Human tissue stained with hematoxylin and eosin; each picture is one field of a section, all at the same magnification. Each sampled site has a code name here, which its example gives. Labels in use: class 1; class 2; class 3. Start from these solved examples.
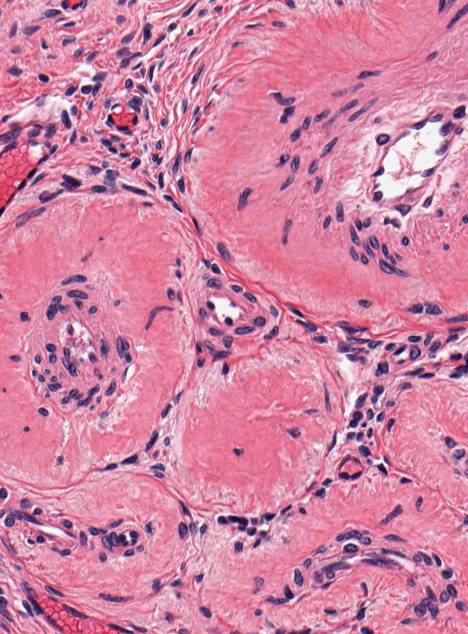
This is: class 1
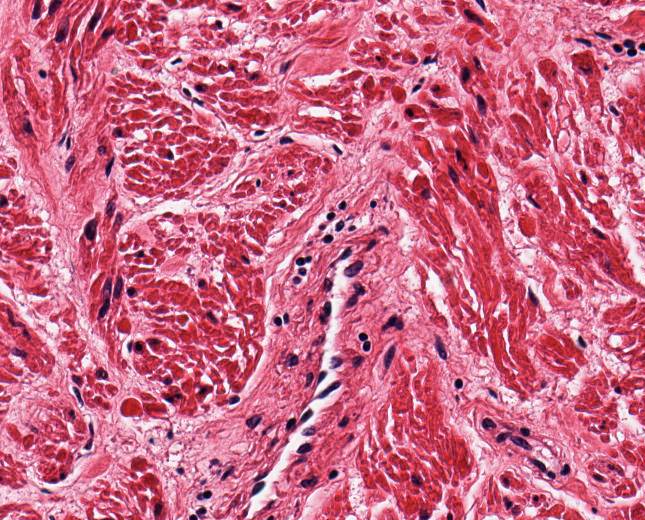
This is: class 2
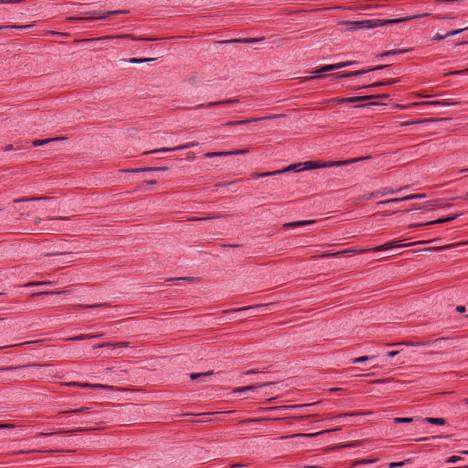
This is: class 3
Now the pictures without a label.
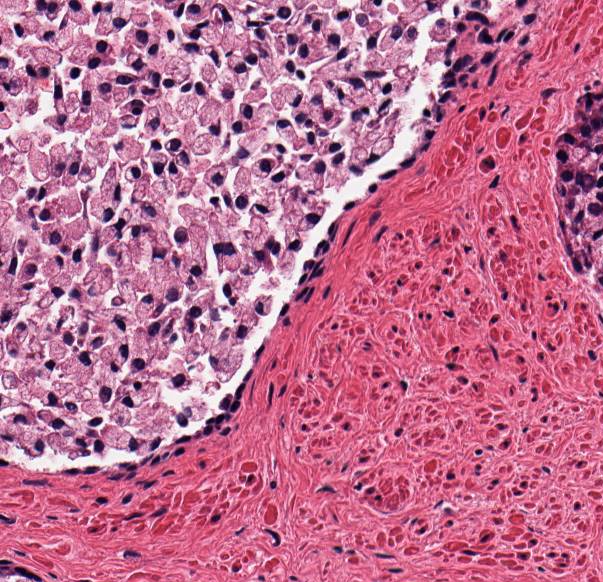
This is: class 2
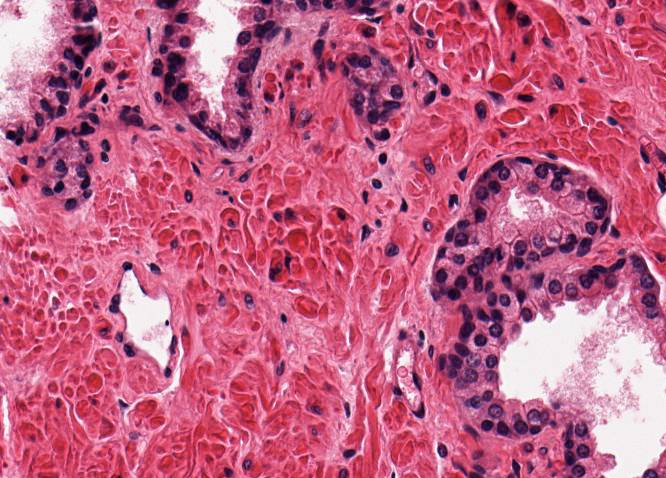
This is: class 2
